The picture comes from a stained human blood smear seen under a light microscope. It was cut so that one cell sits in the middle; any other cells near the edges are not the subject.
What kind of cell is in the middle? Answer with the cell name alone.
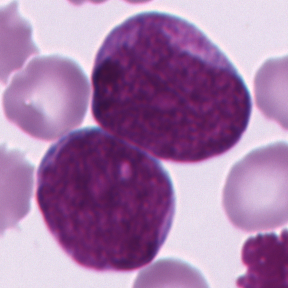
myeloblast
